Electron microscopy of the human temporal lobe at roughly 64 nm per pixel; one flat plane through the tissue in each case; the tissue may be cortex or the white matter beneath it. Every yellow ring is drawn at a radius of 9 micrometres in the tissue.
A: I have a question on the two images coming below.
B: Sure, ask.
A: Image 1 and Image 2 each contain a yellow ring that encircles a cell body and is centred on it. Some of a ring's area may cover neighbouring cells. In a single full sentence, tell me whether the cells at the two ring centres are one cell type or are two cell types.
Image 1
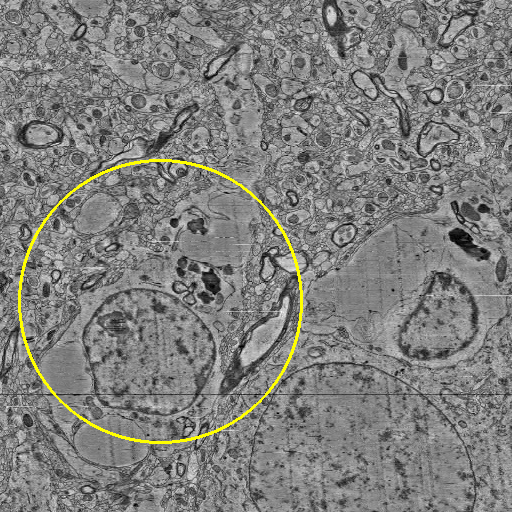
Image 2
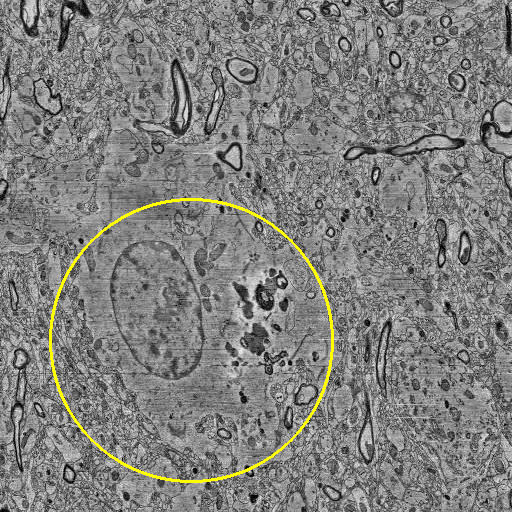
As for the ring-centre cells, the one in Image 1 and the one in Image 2 are one cell type.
